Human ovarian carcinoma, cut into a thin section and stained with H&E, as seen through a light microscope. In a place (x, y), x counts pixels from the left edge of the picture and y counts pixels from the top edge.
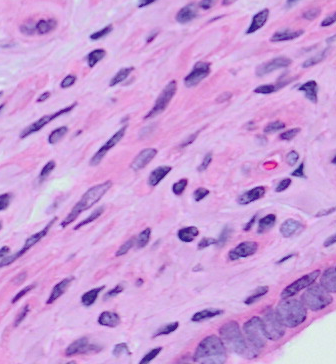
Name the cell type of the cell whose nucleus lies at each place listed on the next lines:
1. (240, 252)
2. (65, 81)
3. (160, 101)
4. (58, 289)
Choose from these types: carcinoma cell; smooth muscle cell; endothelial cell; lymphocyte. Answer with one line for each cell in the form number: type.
1: endothelial cell
2: smooth muscle cell
3: smooth muscle cell
4: smooth muscle cell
